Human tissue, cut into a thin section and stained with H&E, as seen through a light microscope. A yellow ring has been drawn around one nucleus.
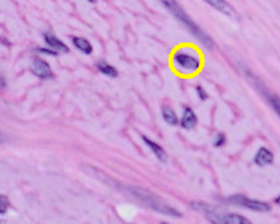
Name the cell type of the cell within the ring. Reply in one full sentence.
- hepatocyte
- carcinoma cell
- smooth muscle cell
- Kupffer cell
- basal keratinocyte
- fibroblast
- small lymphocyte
As far as its identity is concerned, the cell within the ring is a smooth muscle cell.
